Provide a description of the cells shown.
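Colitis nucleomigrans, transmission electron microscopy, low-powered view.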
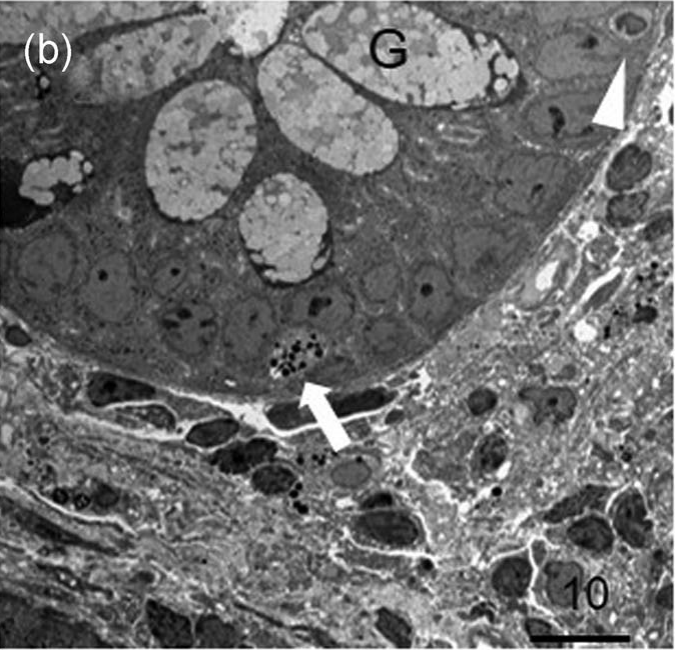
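A crypt of the colonic mucosa is cut across, with columnar epithelial cells whose oval nuclei with distinct nucleoli line up evenly at the base of the cells, against the surrounding connective tissue. Several large cells in the upper part are filled with pale, mottled mucus droplets, the goblet cells. A small dark-nucleated cell sits within the epithelium at the edge, an intraepithelial lymphocyte. Below, the lamina propria holds elongated fibroblast-like cells and scattered cells with dark nuclei and dense granules.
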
